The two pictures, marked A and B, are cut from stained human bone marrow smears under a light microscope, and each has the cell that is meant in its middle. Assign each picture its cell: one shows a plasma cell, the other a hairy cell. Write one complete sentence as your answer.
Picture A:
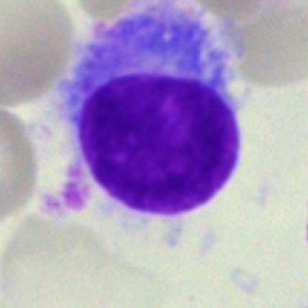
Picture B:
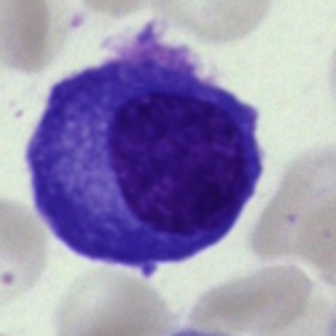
Picture A shows a hairy cell and picture B shows a plasma cell.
